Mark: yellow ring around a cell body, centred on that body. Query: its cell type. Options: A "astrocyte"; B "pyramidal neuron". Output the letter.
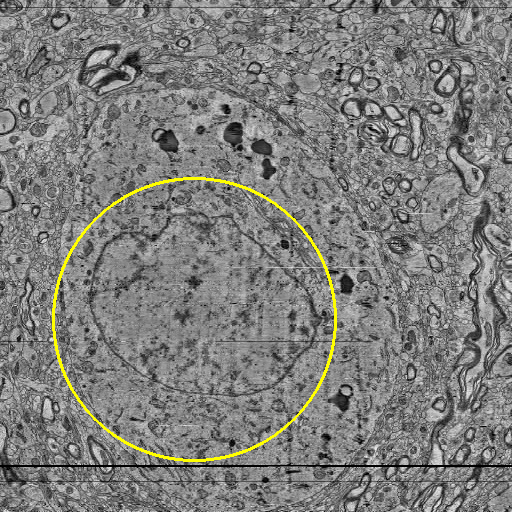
B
